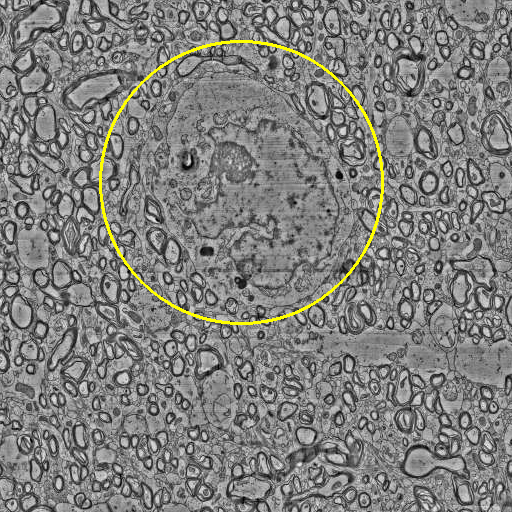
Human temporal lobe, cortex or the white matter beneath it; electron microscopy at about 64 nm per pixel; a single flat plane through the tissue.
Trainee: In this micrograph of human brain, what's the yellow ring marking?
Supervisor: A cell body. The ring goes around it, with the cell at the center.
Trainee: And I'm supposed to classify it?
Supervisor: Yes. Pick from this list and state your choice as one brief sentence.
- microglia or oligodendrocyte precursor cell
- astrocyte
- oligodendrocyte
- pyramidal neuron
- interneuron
The cell at the ring's center is an interneuron.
